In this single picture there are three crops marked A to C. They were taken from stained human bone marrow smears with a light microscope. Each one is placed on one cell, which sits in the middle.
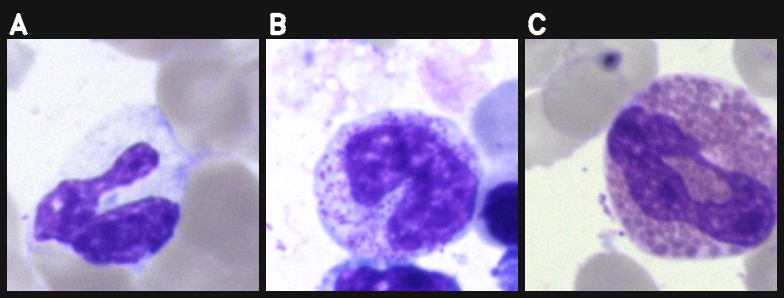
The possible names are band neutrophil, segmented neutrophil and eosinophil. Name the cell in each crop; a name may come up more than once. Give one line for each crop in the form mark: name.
A: segmented neutrophil
B: band neutrophil
C: eosinophil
